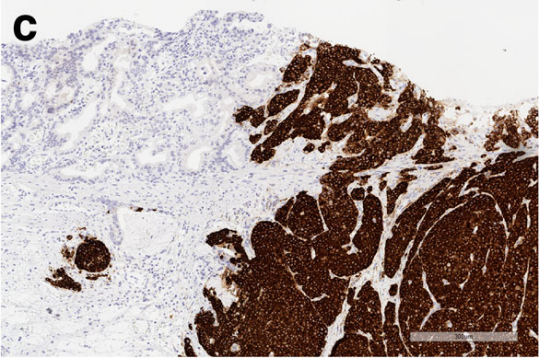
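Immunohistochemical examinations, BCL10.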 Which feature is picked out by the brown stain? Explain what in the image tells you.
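Dark brown stain fills large sheets and rounded nests of tightly packed tumor cells. The gland-forming areas at upper left are unstained. Fibrous stroma between the nests is unstained.
Conclusion: solid component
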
